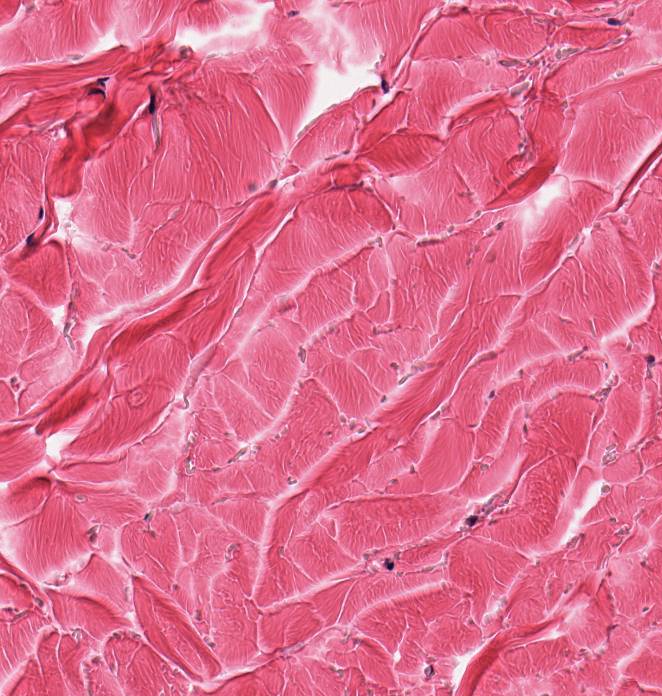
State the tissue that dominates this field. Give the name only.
dermis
